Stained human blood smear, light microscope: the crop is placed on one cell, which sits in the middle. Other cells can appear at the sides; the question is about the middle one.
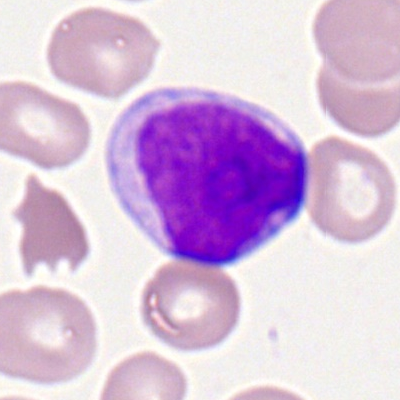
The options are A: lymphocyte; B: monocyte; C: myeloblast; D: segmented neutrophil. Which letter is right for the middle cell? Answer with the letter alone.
C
